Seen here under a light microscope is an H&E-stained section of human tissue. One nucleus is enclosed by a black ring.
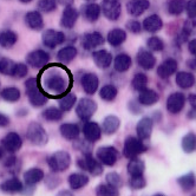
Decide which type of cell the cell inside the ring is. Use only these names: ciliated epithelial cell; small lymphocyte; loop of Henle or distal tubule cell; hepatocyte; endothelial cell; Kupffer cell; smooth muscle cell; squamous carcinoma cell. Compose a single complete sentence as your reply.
The classification of the cell inside the ring is as a small lymphocyte.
